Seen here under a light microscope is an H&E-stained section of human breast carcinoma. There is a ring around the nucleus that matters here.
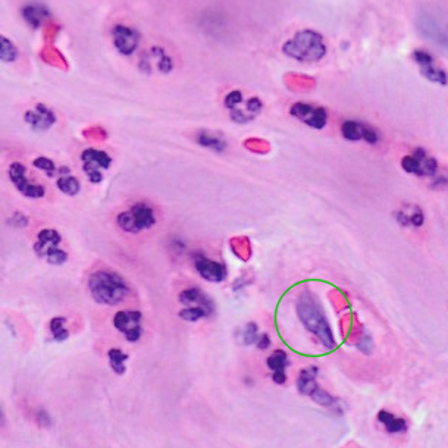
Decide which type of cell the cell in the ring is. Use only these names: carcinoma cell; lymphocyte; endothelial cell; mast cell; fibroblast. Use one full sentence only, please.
In the context of this tissue, the cell in the ring is an endothelial cell.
